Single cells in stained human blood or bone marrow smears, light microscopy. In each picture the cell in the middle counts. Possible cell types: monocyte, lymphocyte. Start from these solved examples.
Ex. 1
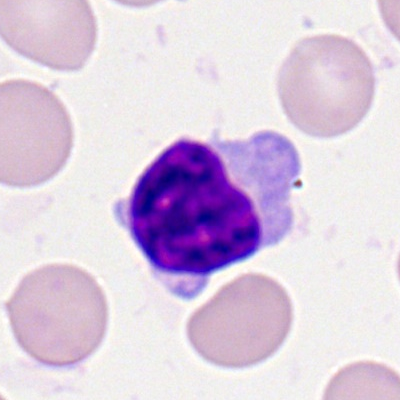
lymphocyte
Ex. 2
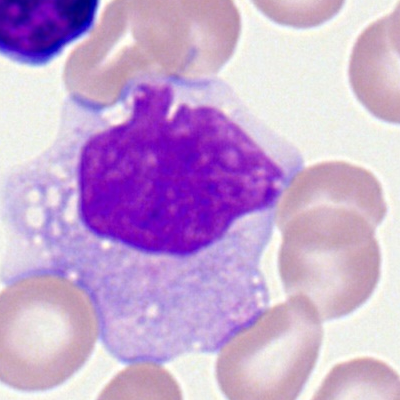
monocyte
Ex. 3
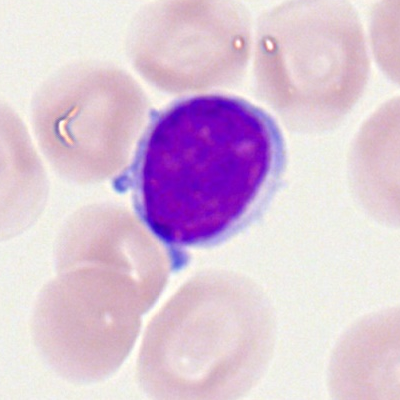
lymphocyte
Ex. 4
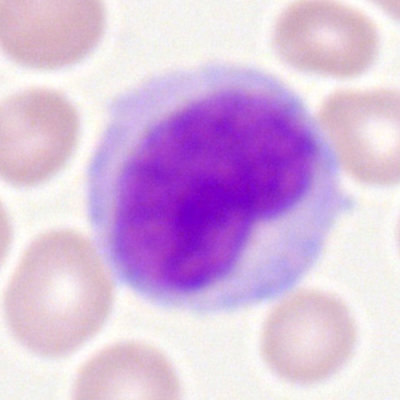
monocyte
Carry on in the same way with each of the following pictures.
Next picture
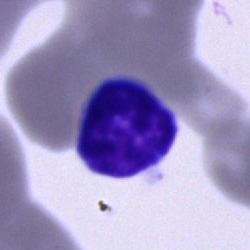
lymphocyte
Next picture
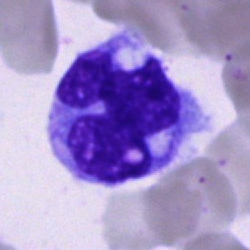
monocyte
